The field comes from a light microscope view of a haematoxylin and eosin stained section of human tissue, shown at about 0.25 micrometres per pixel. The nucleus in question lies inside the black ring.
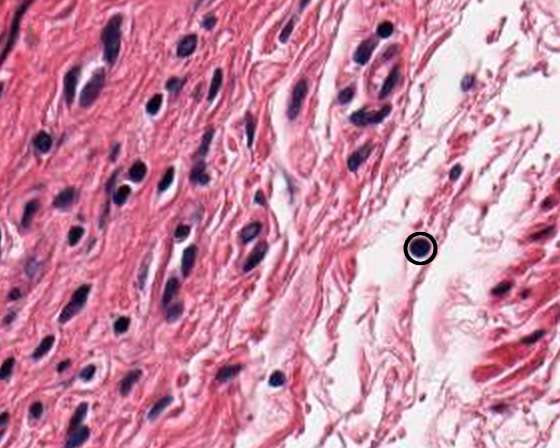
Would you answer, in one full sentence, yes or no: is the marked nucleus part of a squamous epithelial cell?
No, the marked nucleus does not belong to a squamous epithelial cell; it belongs to a supporting cell.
